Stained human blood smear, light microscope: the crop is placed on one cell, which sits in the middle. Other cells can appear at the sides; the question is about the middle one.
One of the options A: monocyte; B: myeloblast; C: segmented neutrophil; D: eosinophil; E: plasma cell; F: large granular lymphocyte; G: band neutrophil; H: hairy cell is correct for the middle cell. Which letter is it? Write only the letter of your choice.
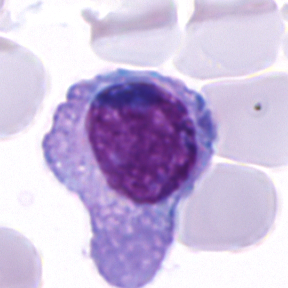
E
